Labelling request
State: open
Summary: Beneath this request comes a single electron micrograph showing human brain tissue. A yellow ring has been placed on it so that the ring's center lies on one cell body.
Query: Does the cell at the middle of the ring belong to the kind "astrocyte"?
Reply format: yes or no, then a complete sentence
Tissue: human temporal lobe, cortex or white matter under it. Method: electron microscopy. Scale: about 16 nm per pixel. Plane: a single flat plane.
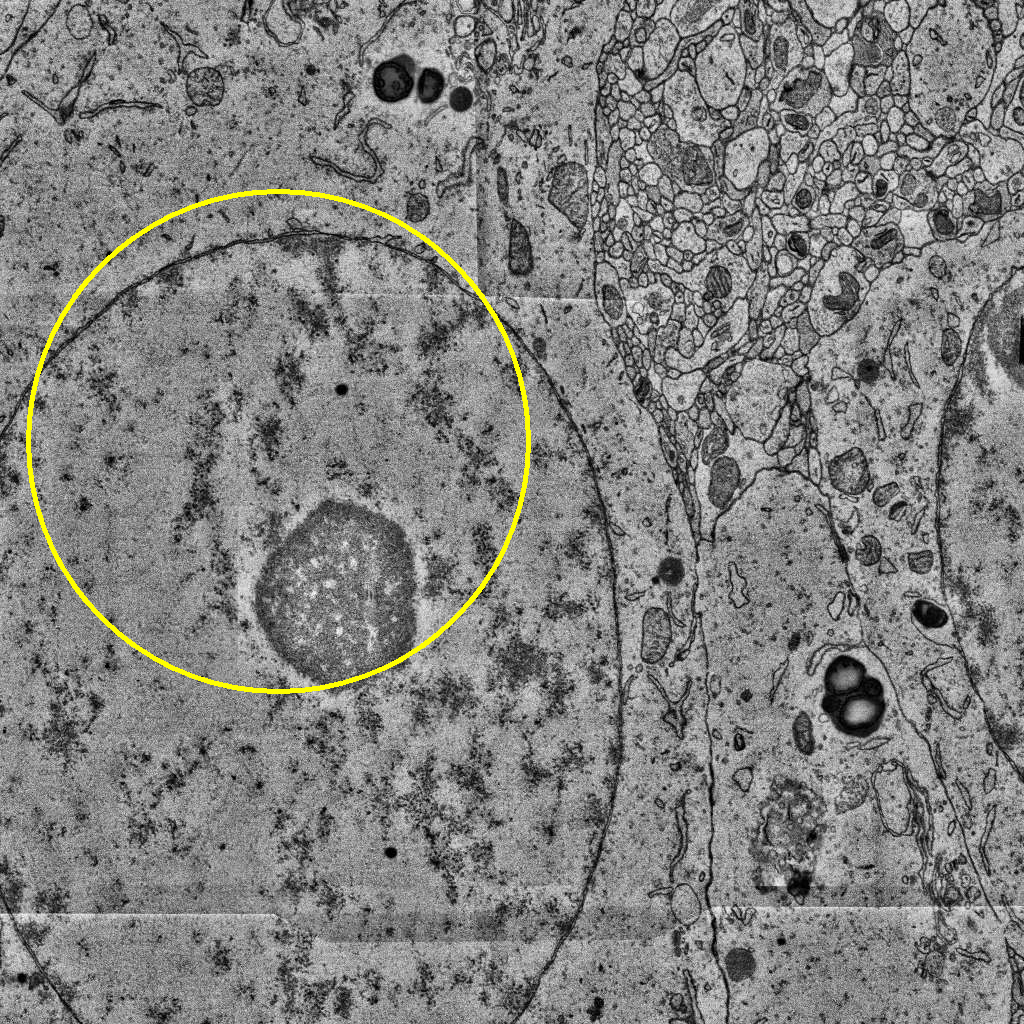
No, the cell sitting at the center of the ring in this picture is of a different kind.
